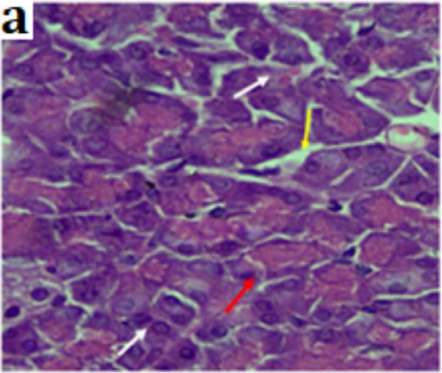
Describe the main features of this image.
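Pancreatic tissue made up of closely packed acinar cells grouped into small acini. The cells are polygonal, with round nuclei and purple-pink granular cytoplasm. Thin pale strands of connective tissue run between groups of cells and separate them into lobules.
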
